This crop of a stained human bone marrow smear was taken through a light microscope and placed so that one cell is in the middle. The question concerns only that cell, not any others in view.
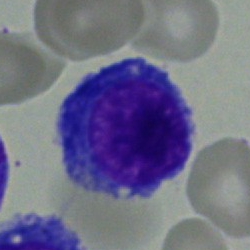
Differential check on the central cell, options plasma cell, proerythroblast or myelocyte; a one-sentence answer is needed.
The crop's centre is taken up by a proerythroblast.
